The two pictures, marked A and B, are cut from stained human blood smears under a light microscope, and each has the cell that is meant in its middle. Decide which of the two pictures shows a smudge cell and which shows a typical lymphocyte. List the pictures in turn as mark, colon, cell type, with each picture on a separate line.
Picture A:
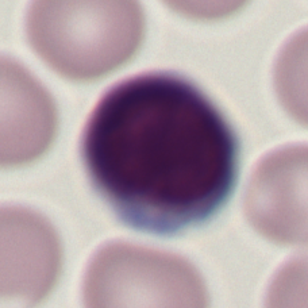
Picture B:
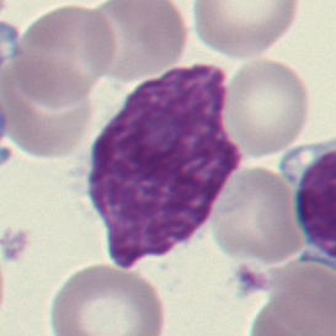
A: typical lymphocyte
B: smudge cell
